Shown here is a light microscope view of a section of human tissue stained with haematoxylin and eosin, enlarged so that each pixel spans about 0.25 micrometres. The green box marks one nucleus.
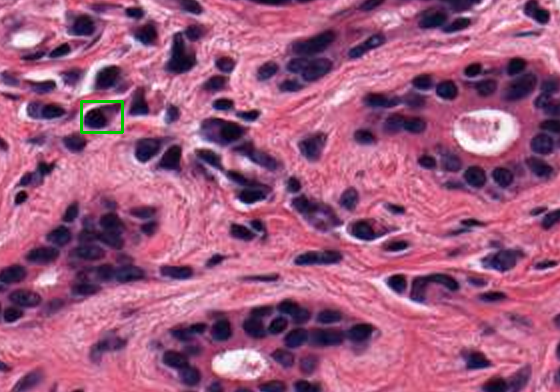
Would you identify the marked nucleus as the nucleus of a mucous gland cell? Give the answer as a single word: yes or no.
no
